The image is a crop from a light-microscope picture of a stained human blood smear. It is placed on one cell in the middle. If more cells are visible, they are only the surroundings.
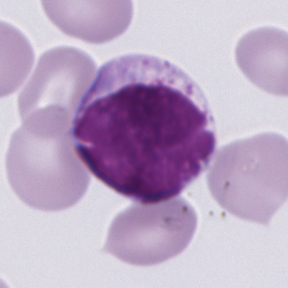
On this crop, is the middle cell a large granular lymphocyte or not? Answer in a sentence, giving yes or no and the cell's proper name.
Yes, the cell positioned in the middle is a large granular lymphocyte.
